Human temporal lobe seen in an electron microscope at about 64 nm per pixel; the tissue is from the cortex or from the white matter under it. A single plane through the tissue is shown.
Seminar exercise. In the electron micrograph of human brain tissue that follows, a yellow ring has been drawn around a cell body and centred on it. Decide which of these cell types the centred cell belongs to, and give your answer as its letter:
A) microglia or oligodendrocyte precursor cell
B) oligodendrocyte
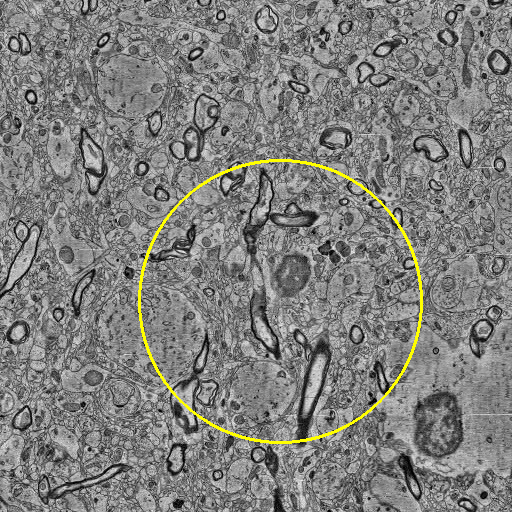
A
